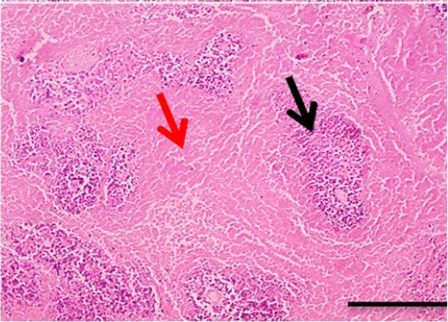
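This section of a tumor mass is dominated by broad pale pink, eosinophilic necrotic zones with only a few islands of tumor cells. The necrotic areas lack intact nuclei and have a wispy, fibrillar texture.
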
